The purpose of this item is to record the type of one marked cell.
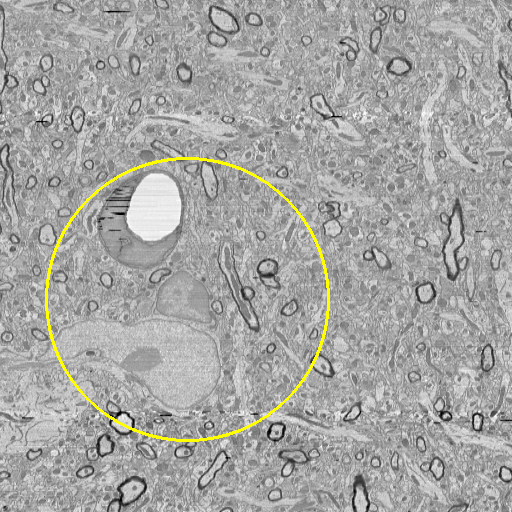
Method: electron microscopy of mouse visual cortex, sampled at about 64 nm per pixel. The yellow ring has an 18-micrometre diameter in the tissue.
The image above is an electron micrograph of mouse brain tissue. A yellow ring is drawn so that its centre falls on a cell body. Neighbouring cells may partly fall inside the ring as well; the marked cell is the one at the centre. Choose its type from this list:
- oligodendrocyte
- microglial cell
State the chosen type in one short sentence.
What the ring marks here is a microglial cell.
